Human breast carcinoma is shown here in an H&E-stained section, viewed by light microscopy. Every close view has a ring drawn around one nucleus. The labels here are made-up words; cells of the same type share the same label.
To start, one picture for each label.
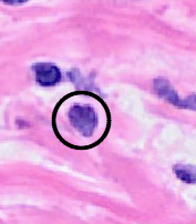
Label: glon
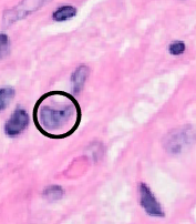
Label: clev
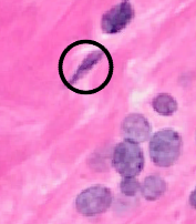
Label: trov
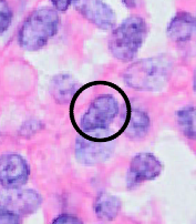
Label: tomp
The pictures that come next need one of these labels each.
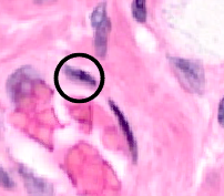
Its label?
clev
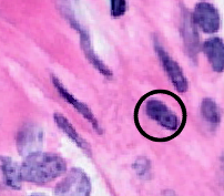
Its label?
glon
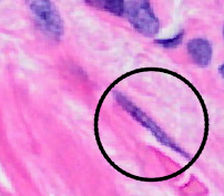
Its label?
clev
